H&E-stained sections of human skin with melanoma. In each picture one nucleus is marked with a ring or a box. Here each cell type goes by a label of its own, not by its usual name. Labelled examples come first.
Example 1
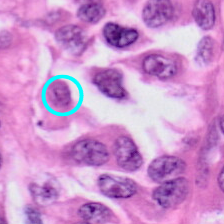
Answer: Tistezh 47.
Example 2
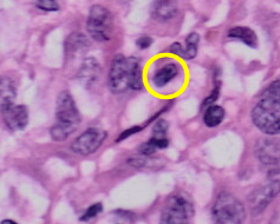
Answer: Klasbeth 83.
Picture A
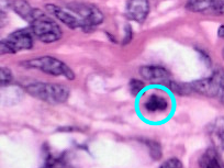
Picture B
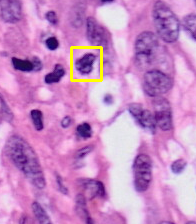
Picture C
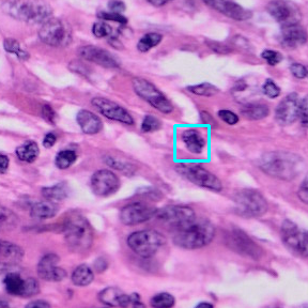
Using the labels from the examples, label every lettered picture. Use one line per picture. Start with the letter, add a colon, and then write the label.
A: Klasbeth 83.
B: Klasbeth 83.
C: Klasbeth 83.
